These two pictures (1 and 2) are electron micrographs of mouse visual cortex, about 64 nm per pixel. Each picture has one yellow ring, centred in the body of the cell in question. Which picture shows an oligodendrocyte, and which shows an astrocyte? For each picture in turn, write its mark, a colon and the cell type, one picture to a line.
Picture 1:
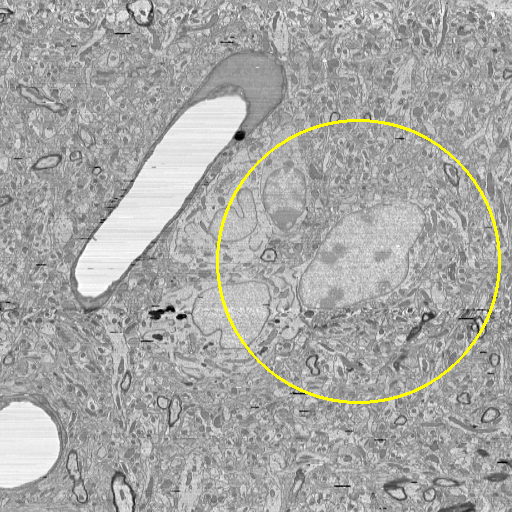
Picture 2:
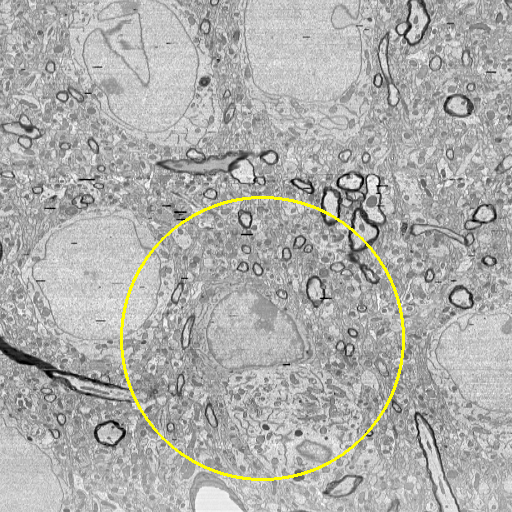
1: astrocyte
2: oligodendrocyte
